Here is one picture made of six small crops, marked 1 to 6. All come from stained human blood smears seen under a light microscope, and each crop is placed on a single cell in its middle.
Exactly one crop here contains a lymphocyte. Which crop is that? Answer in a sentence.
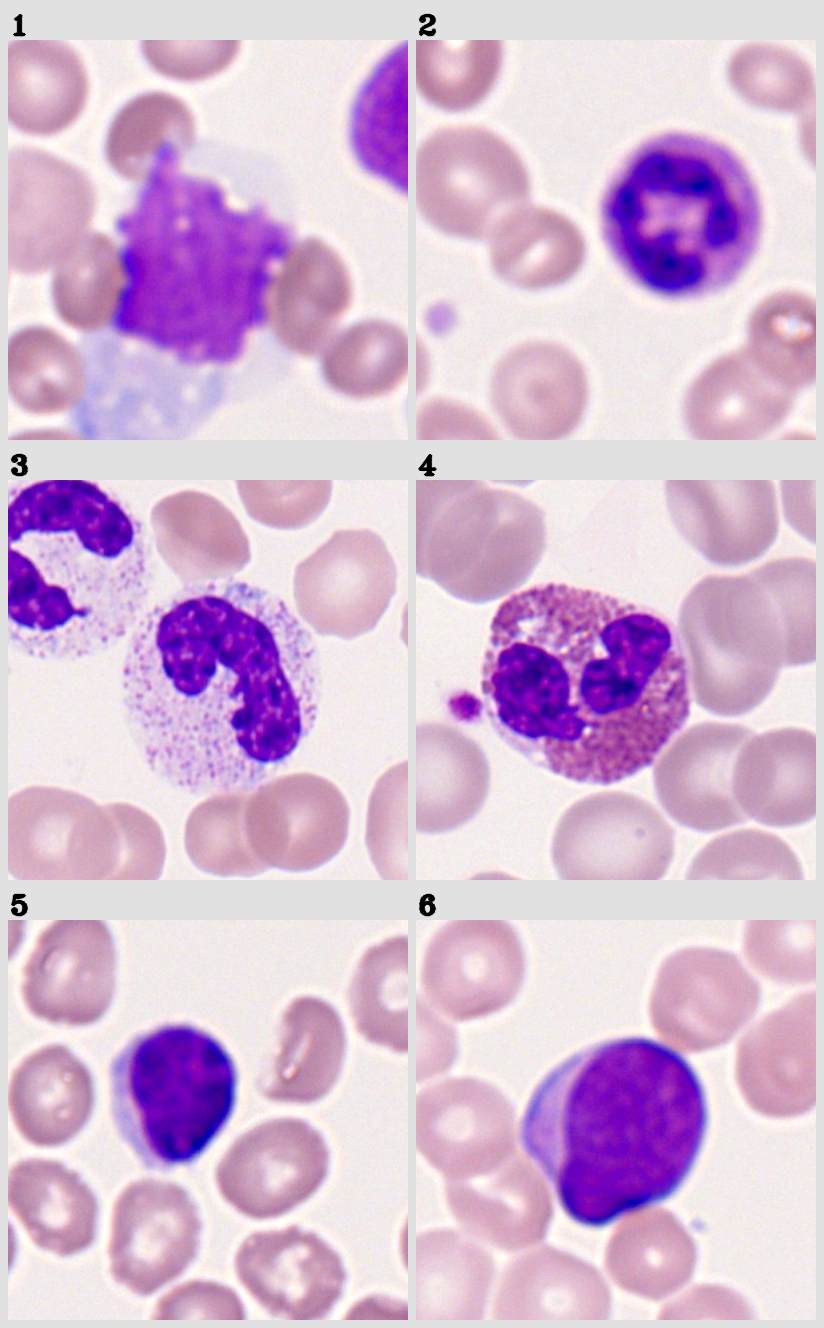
Identified crop: 5, the one that shows a lymphocyte.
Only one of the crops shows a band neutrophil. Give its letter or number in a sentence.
The requested cell, a band neutrophil, is the one in crop 3.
